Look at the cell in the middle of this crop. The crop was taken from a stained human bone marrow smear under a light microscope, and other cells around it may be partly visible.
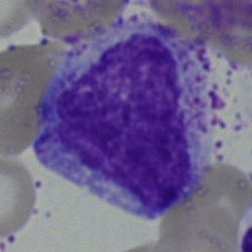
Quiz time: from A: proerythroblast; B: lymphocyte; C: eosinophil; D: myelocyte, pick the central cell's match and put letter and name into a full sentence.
Option D correctly names the cell in the middle as a myelocyte.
